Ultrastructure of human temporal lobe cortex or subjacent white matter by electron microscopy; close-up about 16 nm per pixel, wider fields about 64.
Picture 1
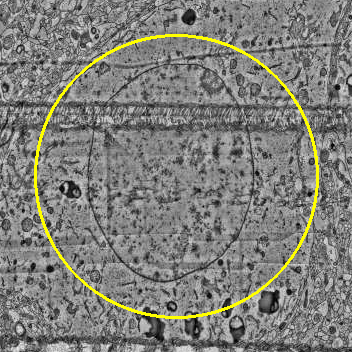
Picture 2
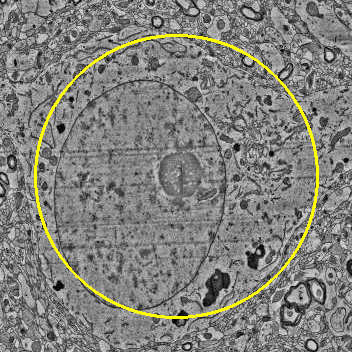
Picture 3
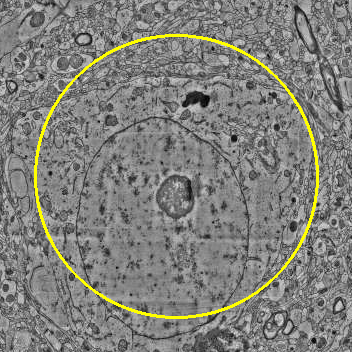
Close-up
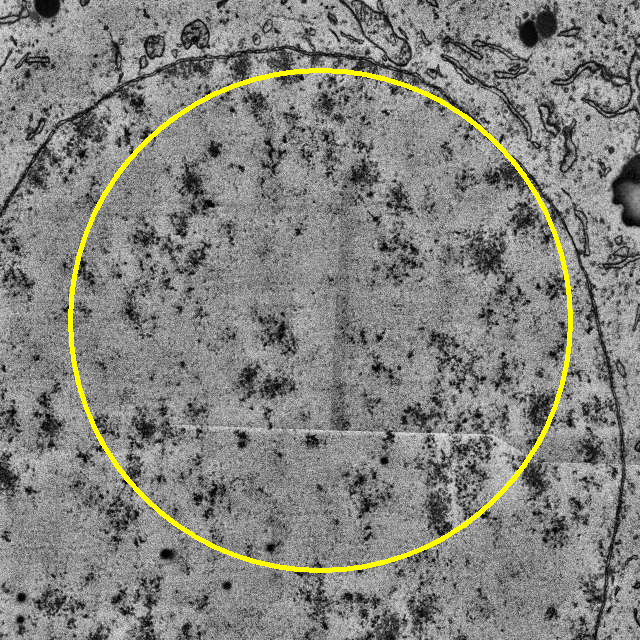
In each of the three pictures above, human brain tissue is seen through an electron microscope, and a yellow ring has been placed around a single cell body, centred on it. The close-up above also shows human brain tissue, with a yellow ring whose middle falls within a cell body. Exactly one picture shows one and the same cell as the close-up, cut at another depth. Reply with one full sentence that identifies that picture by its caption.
The close-up pictures the cell encircled in Picture 3.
